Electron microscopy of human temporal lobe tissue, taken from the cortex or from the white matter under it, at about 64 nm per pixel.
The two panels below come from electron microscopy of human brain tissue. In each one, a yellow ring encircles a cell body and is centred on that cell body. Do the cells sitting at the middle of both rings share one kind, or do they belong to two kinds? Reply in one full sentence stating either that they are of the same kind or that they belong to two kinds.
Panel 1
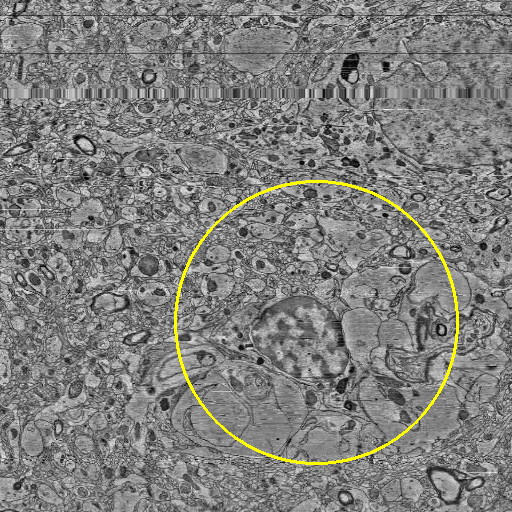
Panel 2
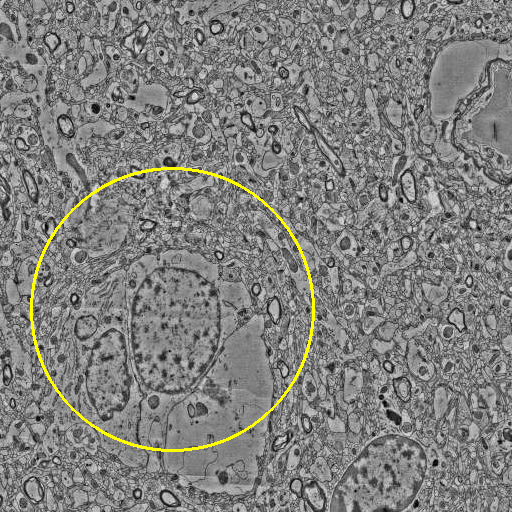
The cells at the centres of the two rings belong to two kinds.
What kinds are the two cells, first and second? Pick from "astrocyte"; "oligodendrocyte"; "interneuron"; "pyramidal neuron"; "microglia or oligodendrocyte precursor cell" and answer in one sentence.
The second picture holds an astrocyte in its ring, and the first holds a microglial cell or oligodendrocyte precursor cell.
